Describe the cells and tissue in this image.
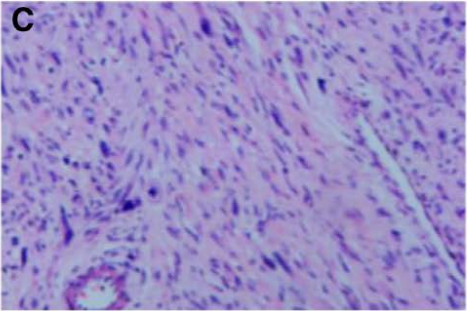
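This is a spindle cell tumor made of densely packed elongated cells running in streaming, intersecting bundles. The nuclei are purple, mostly long and slender with blunt, cigar-like ends, and lie parallel to one another along the direction of the bundles. Between them lies pink, eosinophilic cytoplasm with fibrillar texture, and cell borders are hard to make out. Scattered nuclei are larger and darker than the rest.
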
